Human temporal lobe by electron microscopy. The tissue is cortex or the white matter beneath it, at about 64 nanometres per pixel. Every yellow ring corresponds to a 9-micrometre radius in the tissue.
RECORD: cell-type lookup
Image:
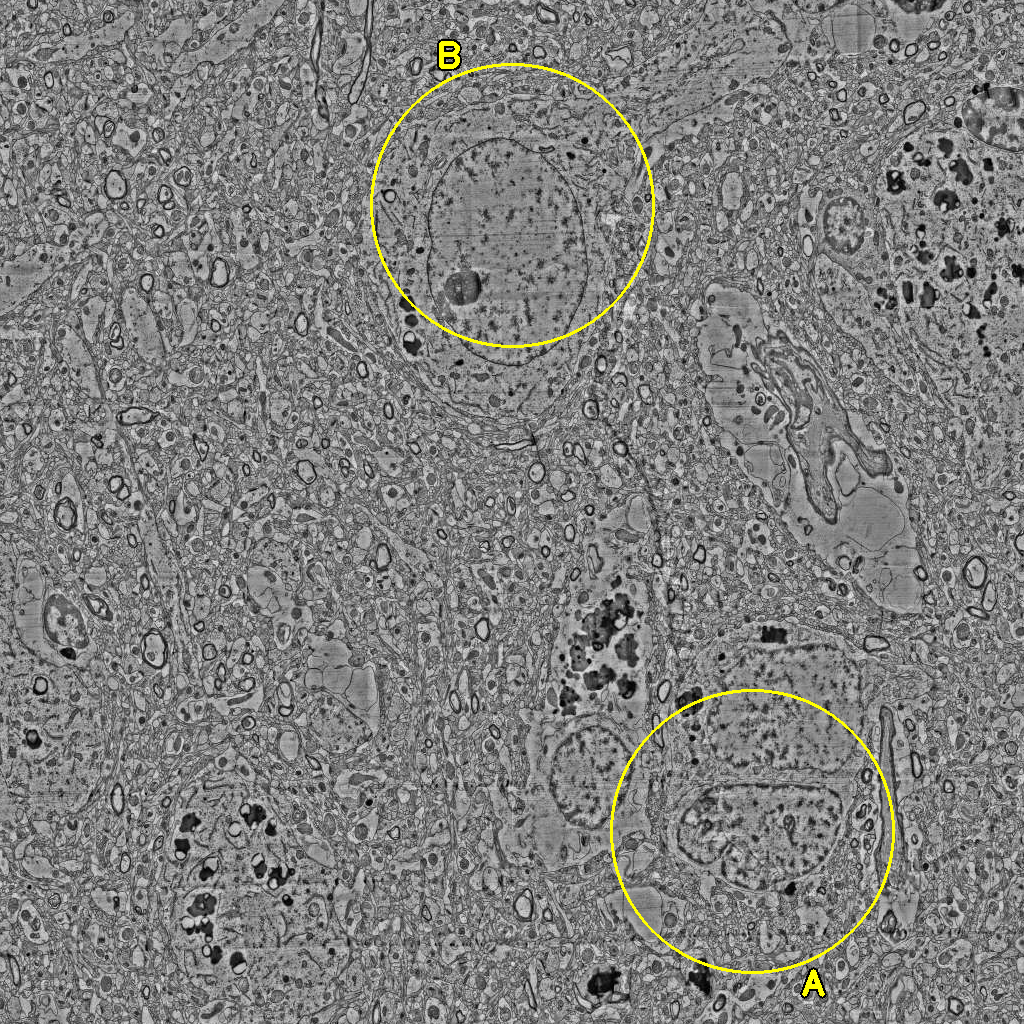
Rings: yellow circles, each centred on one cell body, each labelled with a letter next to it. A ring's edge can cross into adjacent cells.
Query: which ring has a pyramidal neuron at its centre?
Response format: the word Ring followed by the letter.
Ring B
